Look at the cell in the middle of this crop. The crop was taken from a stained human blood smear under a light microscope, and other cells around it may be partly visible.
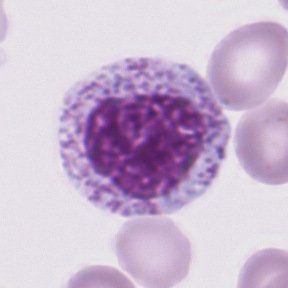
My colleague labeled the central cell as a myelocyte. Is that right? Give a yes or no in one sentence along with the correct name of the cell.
Yes, the central element of the crop is a myelocyte.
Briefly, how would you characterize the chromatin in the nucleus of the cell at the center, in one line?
Thanks for asking; the chromatin is coarsely clumped.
